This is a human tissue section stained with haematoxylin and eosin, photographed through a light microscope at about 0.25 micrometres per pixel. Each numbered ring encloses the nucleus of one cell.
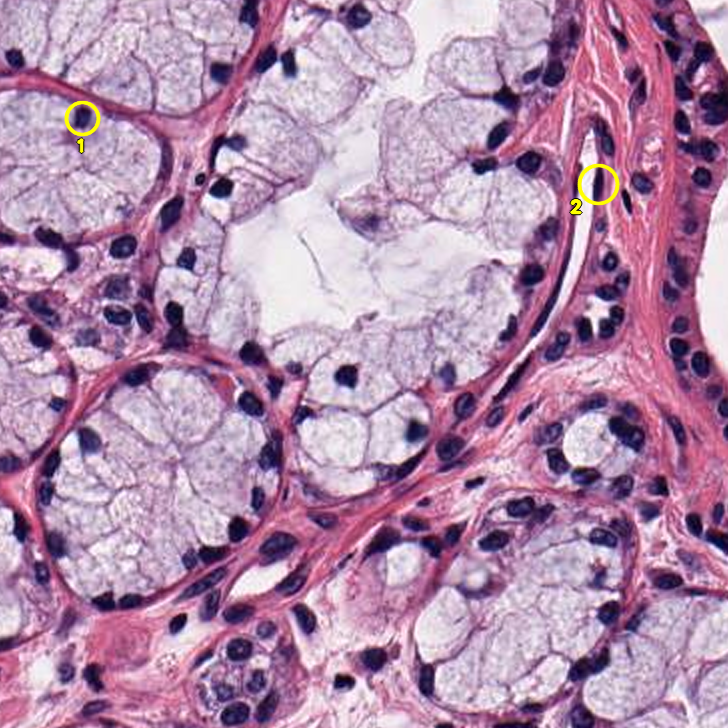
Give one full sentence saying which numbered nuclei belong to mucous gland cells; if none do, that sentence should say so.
Only the nucleus numbered 1 is that of a mucous gland cell.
